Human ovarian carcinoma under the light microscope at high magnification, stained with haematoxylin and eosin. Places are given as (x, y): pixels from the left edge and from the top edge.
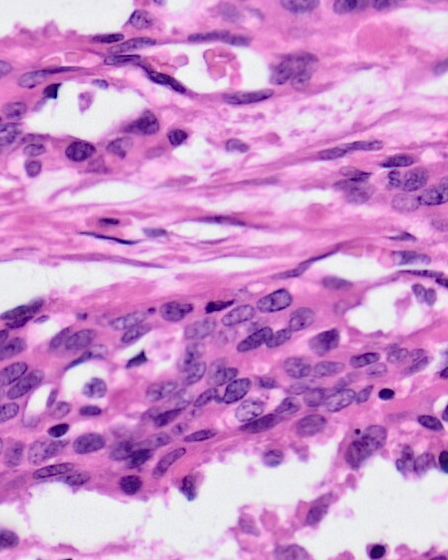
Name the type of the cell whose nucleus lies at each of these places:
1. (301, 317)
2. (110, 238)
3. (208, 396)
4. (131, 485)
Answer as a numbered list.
1. carcinoma cell
2. fibroblast
3. carcinoma cell
4. carcinoma cell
